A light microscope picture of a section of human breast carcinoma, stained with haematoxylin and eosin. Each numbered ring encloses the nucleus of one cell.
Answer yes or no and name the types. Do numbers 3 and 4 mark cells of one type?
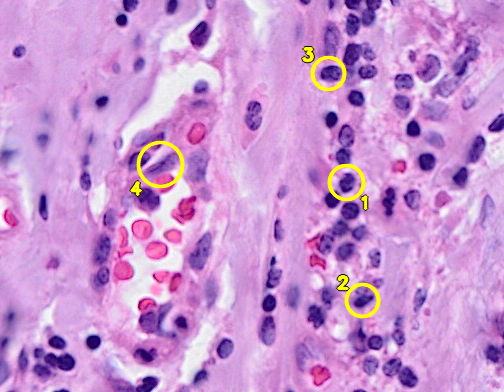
No; cell 3 is a lymphocyte, whereas cell 4 is an endothelial cell.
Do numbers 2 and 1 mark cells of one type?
Yes, of the numbered cells, 2 and 1 are both lymphocytes.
